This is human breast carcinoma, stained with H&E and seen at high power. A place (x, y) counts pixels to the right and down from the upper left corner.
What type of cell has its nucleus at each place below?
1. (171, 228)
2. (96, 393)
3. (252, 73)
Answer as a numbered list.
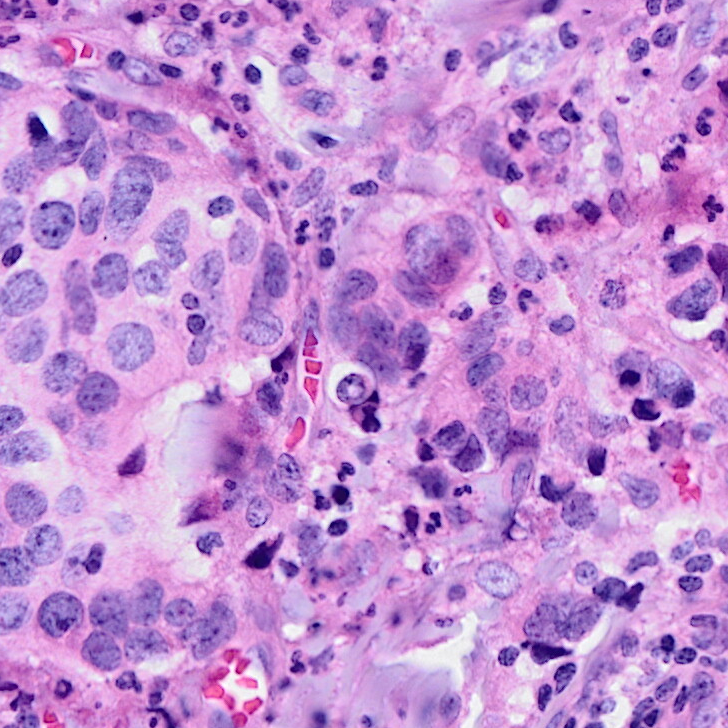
1. carcinoma cell
2. carcinoma cell
3. lymphocyte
